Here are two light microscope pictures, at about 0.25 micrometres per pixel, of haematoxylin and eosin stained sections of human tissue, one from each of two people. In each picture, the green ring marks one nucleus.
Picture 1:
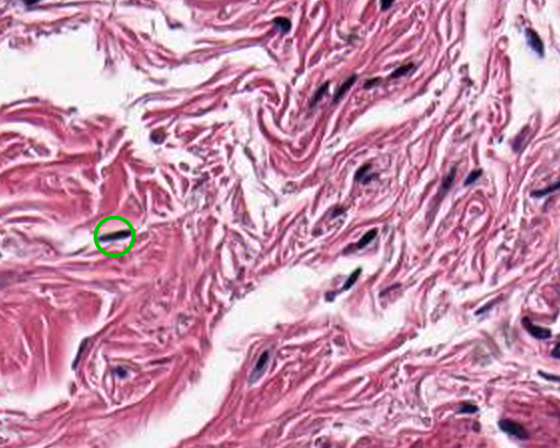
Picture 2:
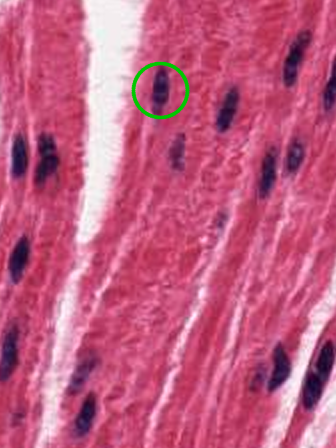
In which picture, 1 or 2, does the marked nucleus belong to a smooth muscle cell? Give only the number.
2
